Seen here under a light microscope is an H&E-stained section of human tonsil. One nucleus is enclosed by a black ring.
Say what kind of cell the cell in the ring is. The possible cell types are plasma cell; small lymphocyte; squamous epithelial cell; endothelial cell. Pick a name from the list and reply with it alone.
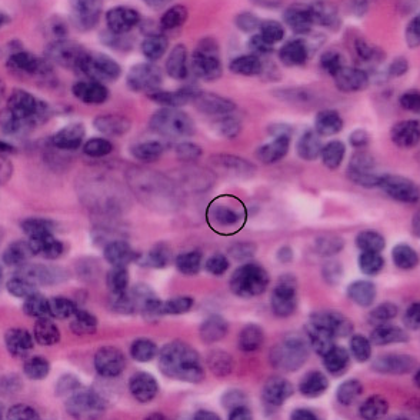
endothelial cell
